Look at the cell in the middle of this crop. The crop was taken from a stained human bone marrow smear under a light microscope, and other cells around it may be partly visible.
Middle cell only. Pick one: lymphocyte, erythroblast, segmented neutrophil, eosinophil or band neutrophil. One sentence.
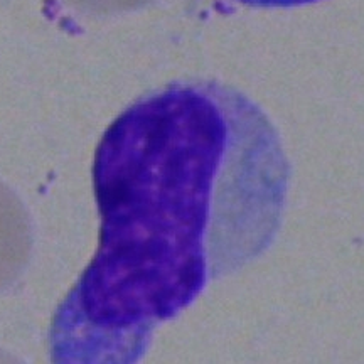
Answering briefly, the cell in the middle is a band neutrophil.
